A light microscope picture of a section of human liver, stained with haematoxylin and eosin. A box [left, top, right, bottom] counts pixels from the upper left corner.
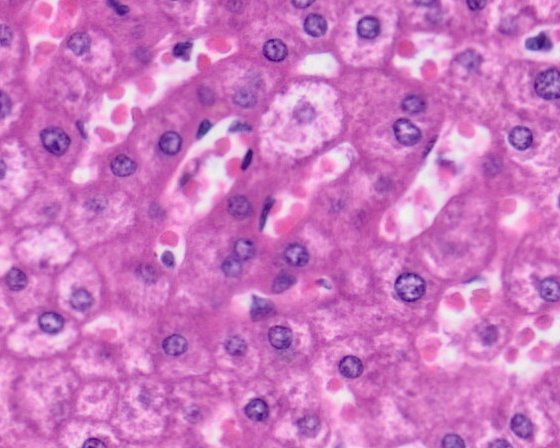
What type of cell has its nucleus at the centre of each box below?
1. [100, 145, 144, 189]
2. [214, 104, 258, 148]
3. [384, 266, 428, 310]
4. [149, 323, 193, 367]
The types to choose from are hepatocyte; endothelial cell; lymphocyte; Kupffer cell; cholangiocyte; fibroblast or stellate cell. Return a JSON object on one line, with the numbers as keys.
{"1": "hepatocyte", "2": "endothelial cell", "3": "hepatocyte", "4": "hepatocyte"}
